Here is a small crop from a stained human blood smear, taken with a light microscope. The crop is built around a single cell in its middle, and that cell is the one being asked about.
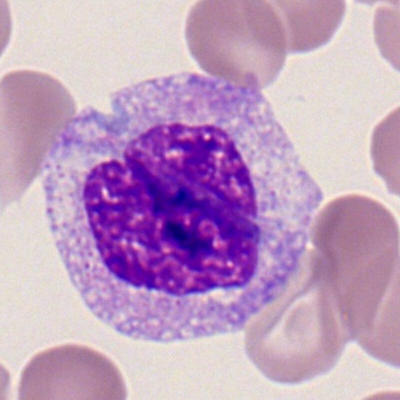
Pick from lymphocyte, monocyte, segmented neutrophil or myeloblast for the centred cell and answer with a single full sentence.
Centrally within this crop lies a monocyte.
